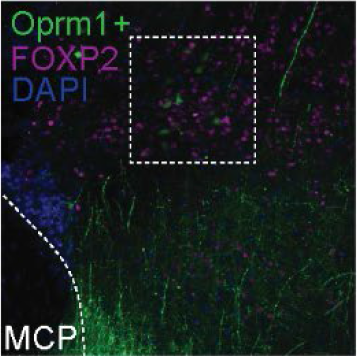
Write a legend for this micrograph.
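A lower-power view of brainstem tissue beside a large fibre bundle, outlined by a dashed curve at the lower left, whose edge is crowded with small blue nuclei. Above, a band of magenta nuclei is scattered through the grey matter, and within a dashed box a small group of green neuronal cell bodies lies among them. Below, a dense mesh of thin green fibres fans upward from the lower part of the field into the tissue, with few cell bodies among them.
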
